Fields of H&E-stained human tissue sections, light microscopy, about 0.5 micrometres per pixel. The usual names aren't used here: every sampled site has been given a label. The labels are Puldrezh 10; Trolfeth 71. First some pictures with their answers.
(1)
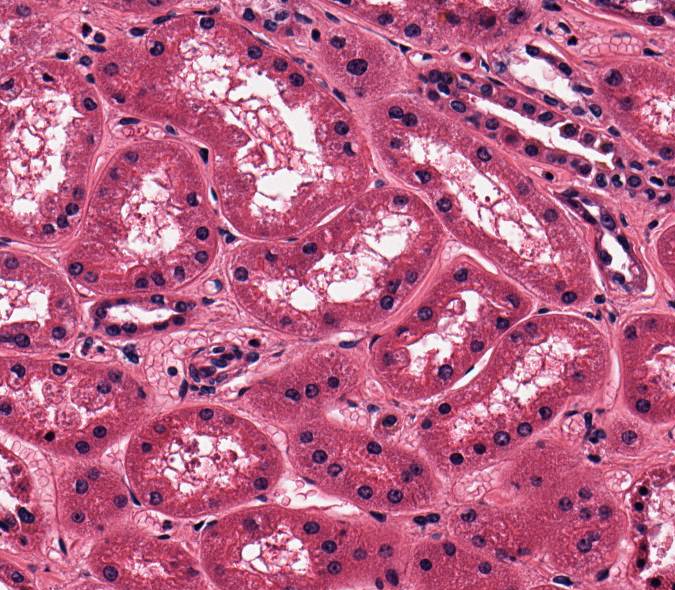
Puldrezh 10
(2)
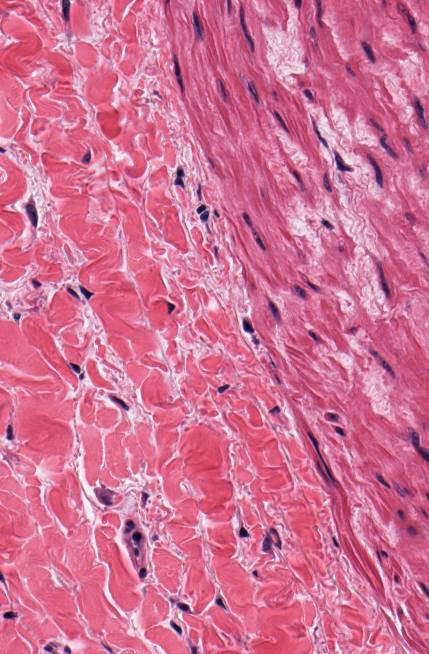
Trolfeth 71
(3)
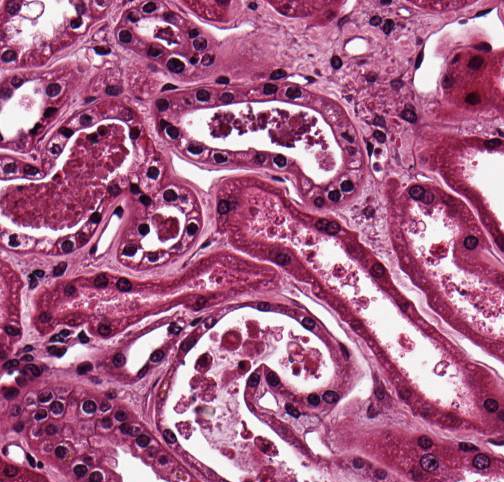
Puldrezh 10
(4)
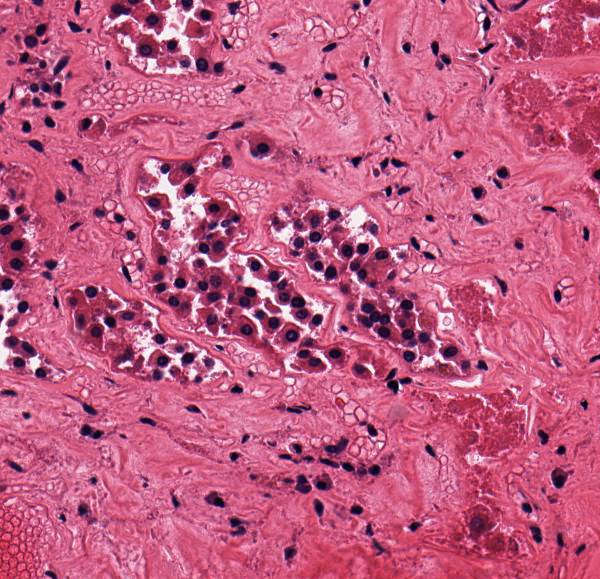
Puldrezh 10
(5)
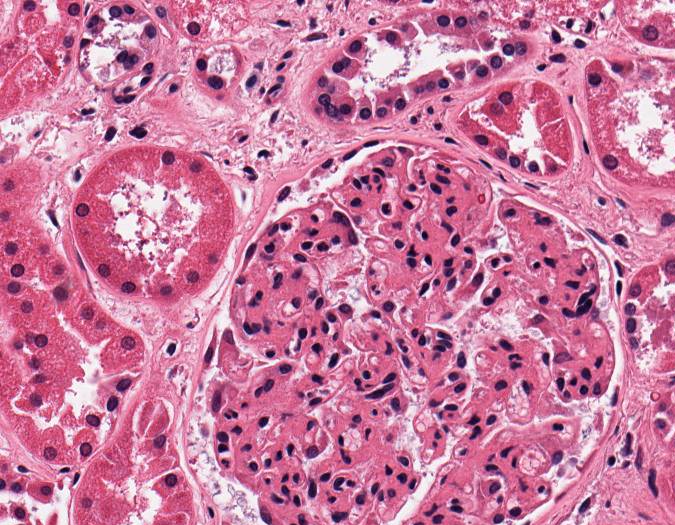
Puldrezh 10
